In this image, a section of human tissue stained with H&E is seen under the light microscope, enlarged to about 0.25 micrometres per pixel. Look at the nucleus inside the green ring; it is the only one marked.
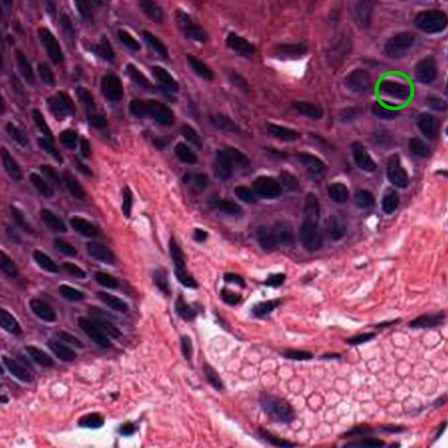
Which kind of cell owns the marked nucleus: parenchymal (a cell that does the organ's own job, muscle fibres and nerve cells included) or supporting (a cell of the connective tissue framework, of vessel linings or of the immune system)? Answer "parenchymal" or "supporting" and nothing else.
parenchymal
